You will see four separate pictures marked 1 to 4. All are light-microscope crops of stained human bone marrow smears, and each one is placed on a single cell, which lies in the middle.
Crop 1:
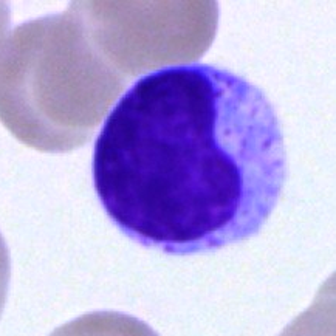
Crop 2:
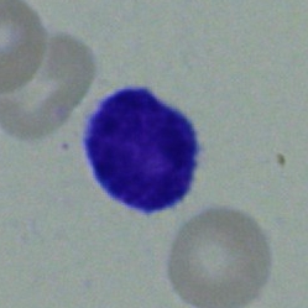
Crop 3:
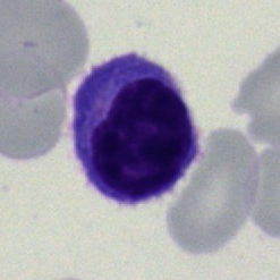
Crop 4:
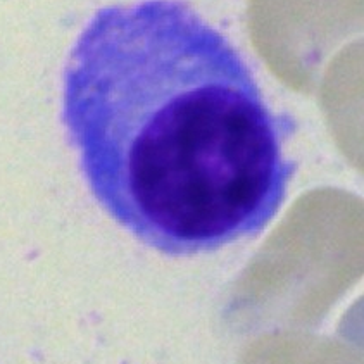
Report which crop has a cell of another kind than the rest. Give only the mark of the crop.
4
